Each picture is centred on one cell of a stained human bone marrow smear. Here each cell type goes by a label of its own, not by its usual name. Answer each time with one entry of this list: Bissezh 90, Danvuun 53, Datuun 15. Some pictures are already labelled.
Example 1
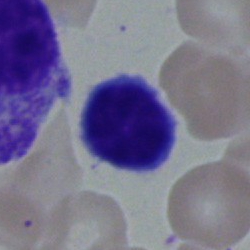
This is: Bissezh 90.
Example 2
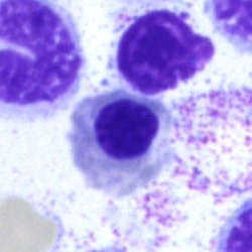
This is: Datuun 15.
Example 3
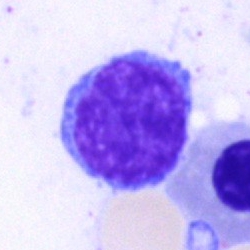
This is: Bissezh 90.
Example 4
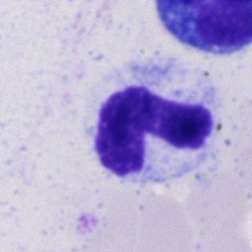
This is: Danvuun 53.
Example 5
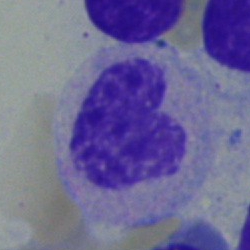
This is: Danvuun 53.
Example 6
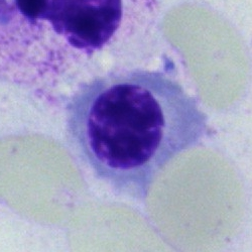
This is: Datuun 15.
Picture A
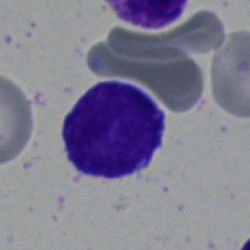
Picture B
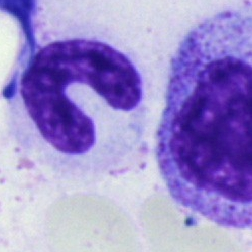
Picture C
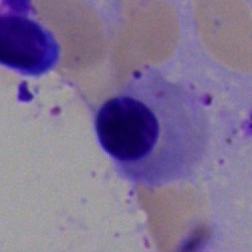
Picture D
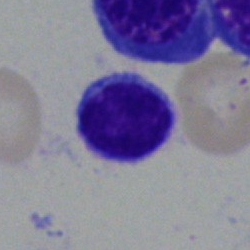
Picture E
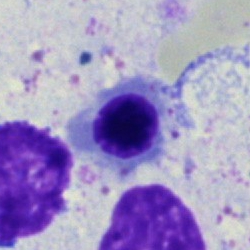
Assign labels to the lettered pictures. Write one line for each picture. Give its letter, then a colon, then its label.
A: Bissezh 90.
B: Danvuun 53.
C: Datuun 15.
D: Bissezh 90.
E: Datuun 15.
